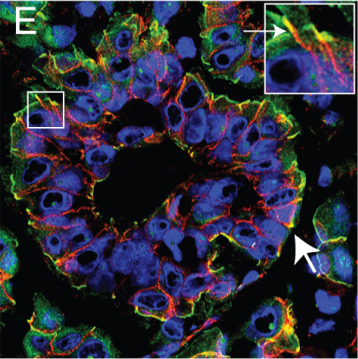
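A rounded cluster of tumour cells surrounds a central open space, with large blue oval nuclei, some with clear nucleoli. Red lines trace the borders between adjacent cells throughout the cluster, while green lines and patches run along the outer rim of the cluster and in places along cell borders, with yellow where the two meet. Smaller clusters of similar cells lie to the sides, separated by dark spaces.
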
